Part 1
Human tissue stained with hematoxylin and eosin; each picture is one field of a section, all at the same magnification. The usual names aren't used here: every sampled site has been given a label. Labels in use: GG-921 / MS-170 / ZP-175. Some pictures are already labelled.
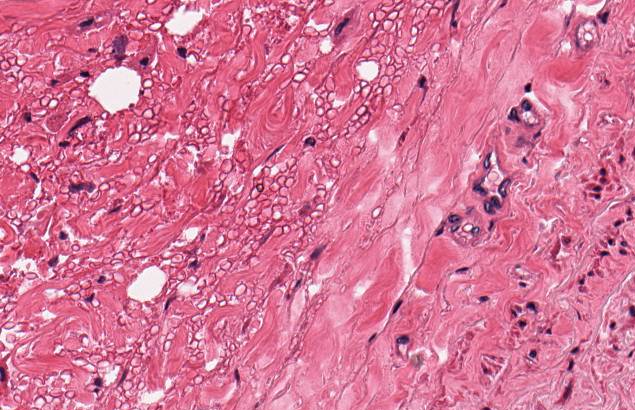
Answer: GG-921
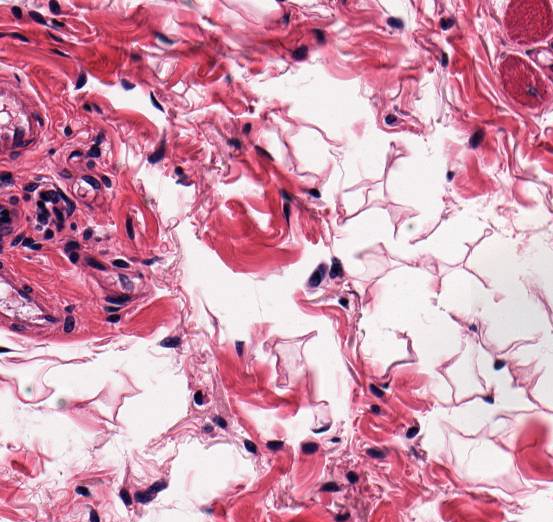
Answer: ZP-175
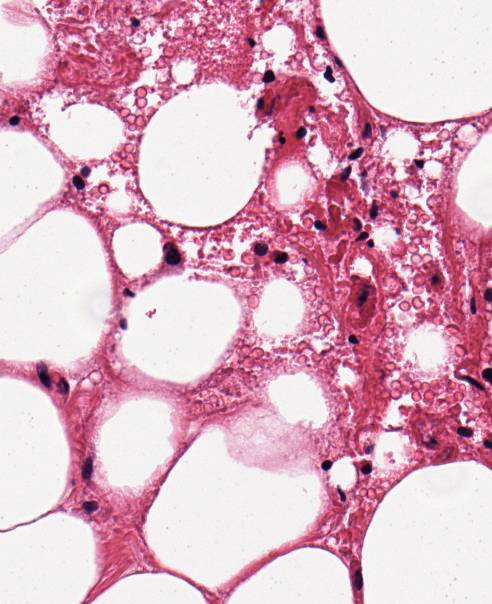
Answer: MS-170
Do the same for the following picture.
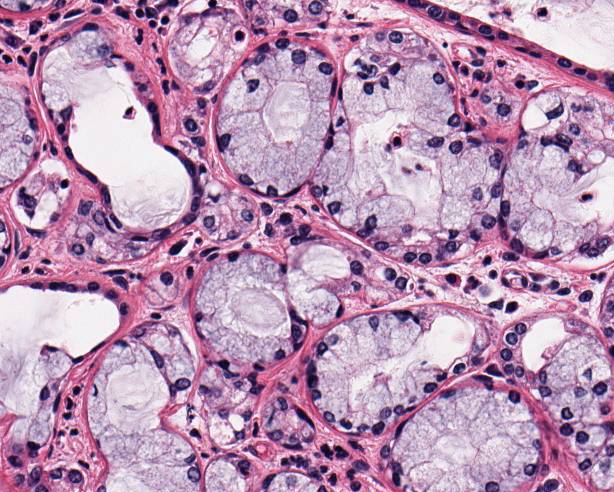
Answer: ZP-175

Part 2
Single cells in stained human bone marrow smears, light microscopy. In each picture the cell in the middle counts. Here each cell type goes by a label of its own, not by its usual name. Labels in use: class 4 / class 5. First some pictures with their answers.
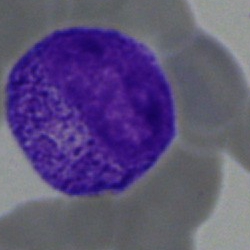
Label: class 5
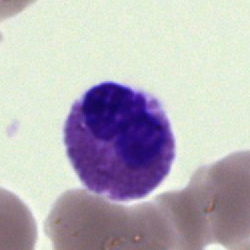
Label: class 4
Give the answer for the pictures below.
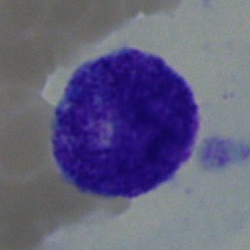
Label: class 5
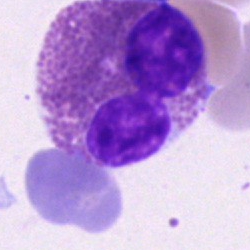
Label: class 4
